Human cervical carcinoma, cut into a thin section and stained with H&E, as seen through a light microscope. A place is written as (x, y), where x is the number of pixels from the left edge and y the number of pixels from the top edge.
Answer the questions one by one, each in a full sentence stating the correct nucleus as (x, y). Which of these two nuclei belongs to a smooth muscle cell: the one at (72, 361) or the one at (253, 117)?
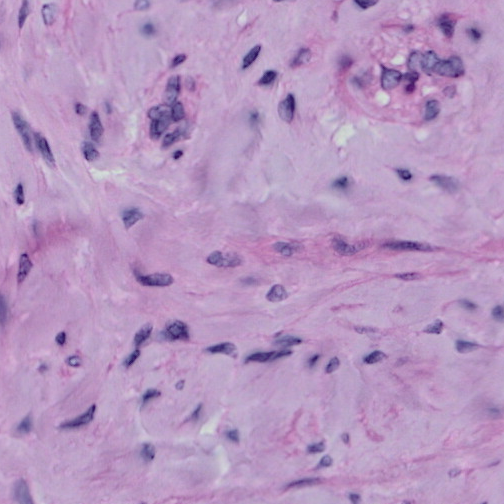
Assigned to a smooth muscle cell is the nucleus located at (72, 361).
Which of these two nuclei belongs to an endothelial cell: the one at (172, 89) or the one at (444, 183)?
Belonging to an endothelial cell is the nucleus at (172, 89).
